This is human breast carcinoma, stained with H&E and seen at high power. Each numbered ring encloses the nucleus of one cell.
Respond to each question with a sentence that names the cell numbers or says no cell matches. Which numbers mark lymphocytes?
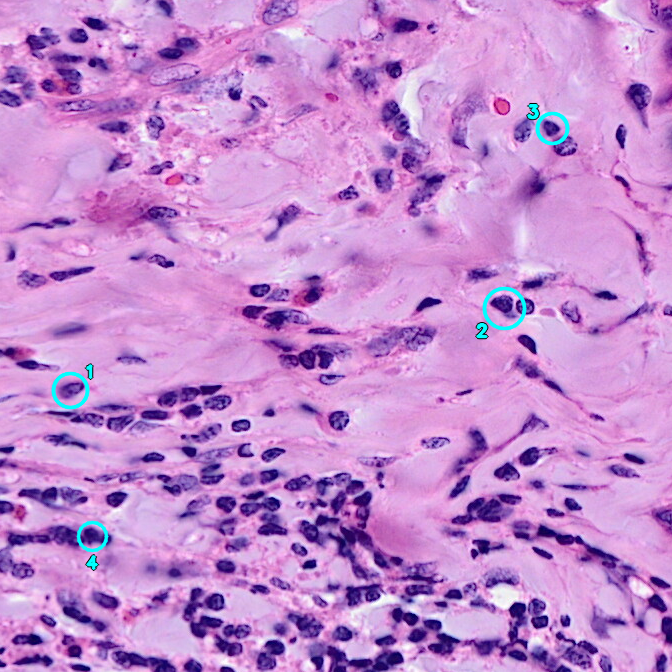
The cells tagged 2, 3 and 4 are lymphocytes in this tissue section.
